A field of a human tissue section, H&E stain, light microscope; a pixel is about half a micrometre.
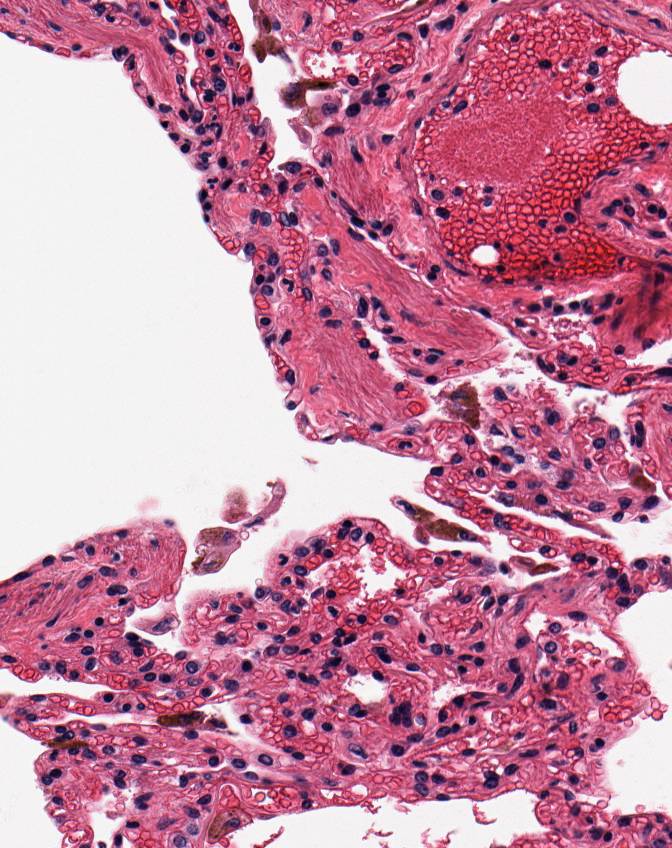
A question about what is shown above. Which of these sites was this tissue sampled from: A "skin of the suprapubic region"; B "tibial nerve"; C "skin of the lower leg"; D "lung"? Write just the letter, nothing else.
D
